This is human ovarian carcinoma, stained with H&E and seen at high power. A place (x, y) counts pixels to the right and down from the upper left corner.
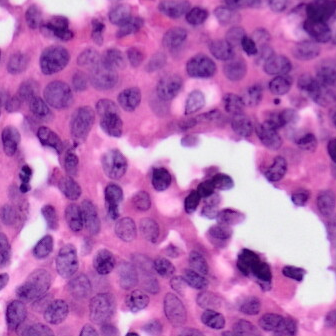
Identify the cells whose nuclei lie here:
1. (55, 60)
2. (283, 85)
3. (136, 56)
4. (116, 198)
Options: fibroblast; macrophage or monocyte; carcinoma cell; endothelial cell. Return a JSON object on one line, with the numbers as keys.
{"1": "carcinoma cell", "2": "carcinoma cell", "3": "carcinoma cell", "4": "macrophage or monocyte"}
